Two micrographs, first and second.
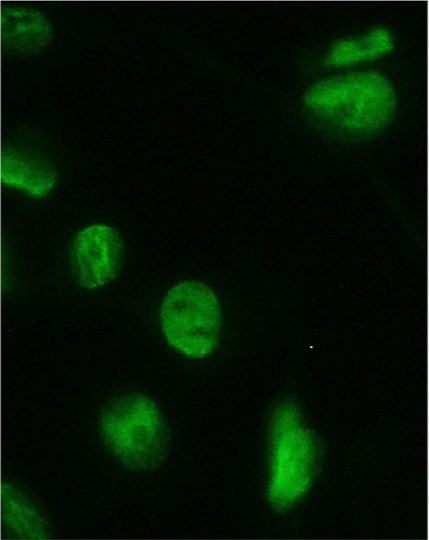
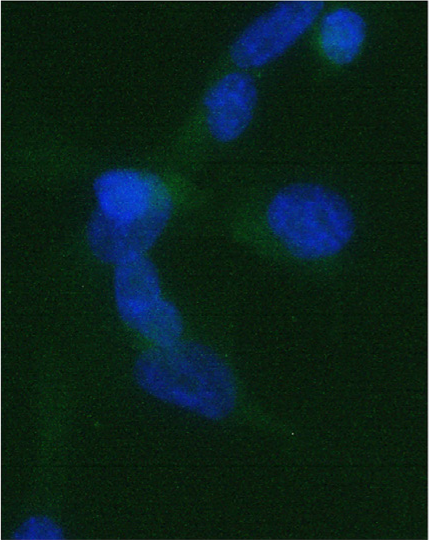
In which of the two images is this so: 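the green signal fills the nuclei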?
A: the first image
